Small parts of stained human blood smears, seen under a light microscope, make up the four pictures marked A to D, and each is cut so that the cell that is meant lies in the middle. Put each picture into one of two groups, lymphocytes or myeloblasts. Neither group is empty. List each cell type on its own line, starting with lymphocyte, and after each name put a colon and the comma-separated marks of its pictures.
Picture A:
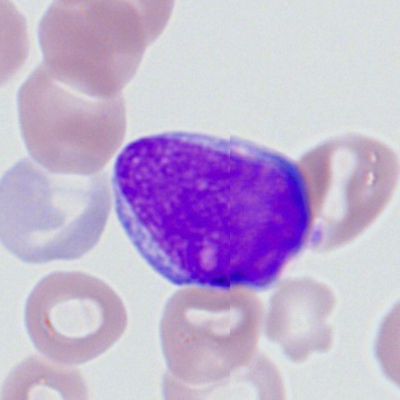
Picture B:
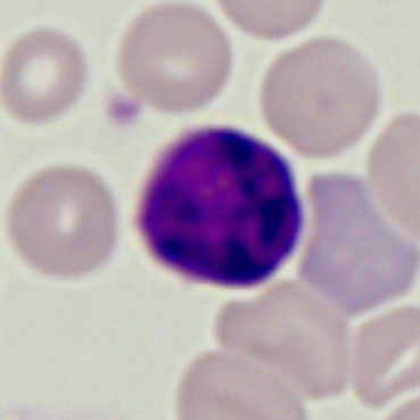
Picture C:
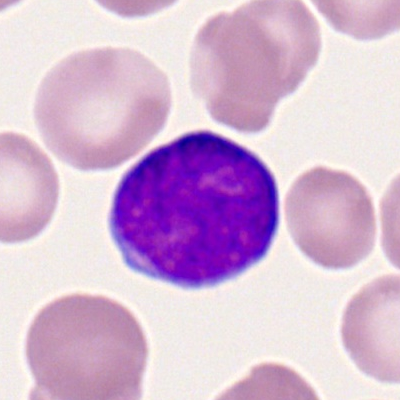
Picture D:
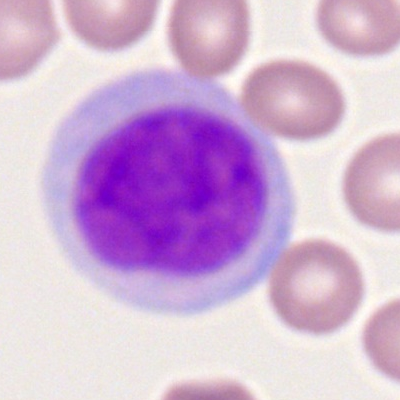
lymphocyte: B, C
myeloblast: A, D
